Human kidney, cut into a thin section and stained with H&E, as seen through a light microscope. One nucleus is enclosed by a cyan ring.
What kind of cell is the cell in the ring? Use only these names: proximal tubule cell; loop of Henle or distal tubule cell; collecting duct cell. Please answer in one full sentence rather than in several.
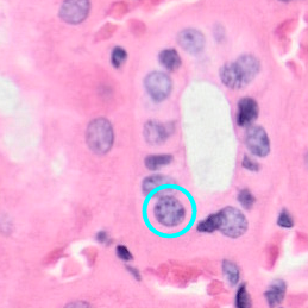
In short, the cell in the ring on this section is a collecting duct cell.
